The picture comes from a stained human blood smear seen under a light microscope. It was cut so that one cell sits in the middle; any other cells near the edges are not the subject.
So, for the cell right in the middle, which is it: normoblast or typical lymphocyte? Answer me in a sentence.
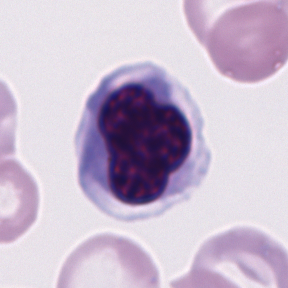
Regarding the central cell, it is a normoblast.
